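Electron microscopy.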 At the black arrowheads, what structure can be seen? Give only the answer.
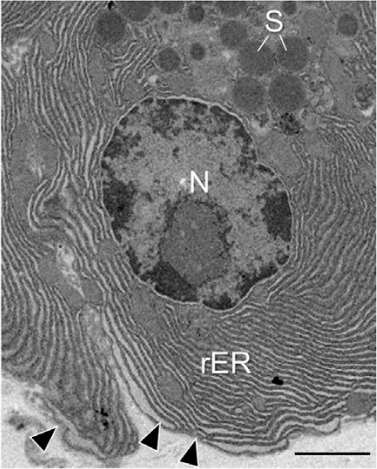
Basal membrane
